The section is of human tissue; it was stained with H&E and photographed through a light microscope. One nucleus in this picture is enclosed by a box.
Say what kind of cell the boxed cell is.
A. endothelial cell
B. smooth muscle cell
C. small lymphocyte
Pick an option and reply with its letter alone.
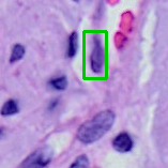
A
